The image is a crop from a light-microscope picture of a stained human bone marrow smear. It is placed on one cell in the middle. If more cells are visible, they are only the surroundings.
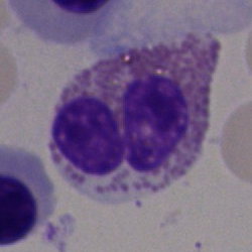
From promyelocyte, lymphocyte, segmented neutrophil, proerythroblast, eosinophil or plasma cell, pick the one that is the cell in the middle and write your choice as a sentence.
The crop shows an eosinophil in its centre.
